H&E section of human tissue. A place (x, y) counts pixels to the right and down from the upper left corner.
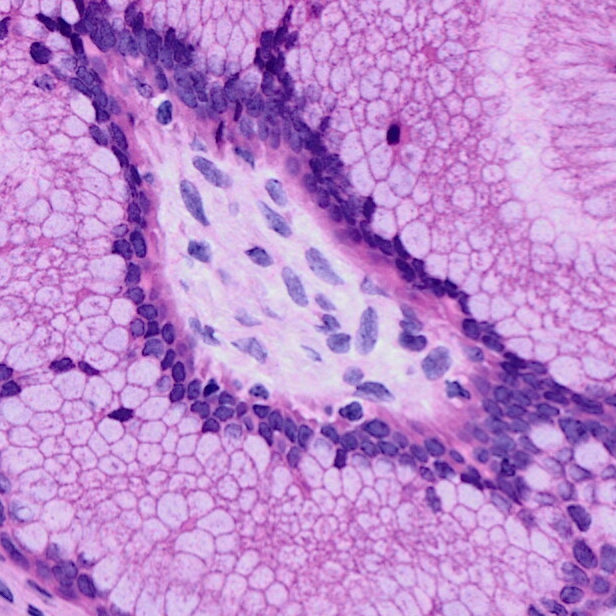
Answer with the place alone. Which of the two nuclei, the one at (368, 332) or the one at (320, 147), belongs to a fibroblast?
(368, 332)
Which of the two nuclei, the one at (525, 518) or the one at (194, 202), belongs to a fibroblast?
(194, 202)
